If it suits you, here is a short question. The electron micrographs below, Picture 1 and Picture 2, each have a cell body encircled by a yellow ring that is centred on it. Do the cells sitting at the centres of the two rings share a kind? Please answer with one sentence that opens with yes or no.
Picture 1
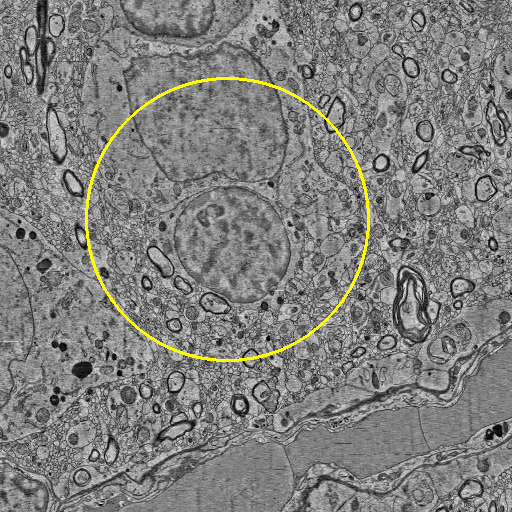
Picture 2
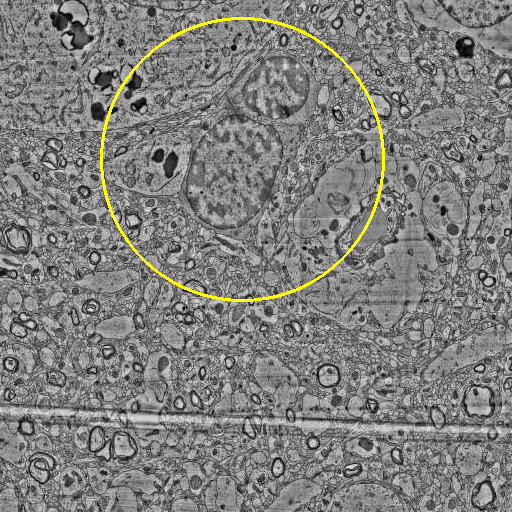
Yes, the two cells sitting at the ring centres share a single kind.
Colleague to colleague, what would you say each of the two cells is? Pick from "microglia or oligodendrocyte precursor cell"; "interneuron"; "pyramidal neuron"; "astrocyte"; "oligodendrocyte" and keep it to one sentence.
Each of the two rings is centred on an oligodendrocyte.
